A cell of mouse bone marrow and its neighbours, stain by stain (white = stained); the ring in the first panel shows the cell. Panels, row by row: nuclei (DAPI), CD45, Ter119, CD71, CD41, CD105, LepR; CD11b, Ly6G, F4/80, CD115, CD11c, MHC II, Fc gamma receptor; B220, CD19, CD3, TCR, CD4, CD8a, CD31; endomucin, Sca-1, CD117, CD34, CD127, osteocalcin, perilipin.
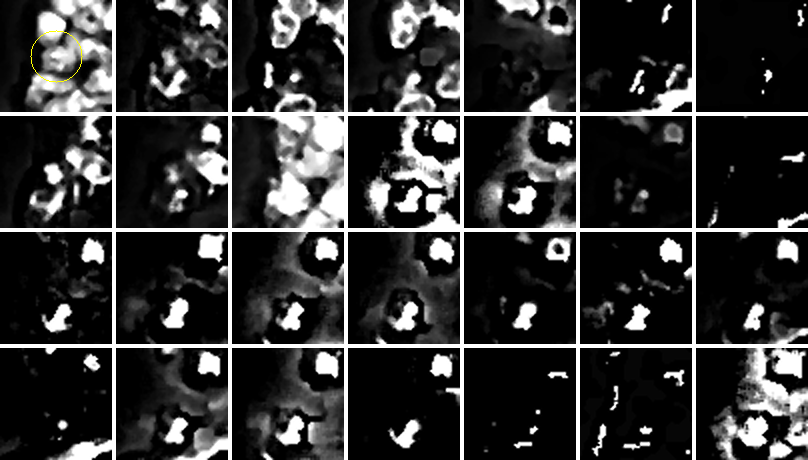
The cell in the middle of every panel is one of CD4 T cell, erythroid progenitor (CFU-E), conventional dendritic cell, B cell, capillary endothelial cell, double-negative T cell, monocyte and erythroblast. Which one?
erythroid progenitor (CFU-E)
